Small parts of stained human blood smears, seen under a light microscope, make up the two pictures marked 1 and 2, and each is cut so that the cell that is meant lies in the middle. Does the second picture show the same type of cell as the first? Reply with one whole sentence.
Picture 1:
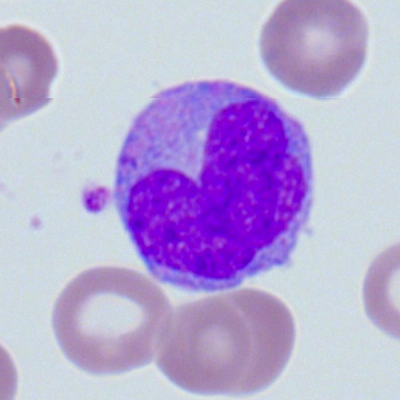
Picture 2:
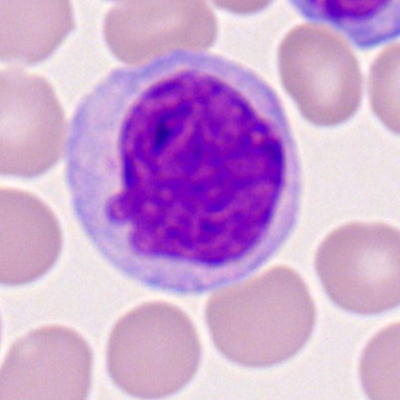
Yes; the cells in both pictures are monocytes.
